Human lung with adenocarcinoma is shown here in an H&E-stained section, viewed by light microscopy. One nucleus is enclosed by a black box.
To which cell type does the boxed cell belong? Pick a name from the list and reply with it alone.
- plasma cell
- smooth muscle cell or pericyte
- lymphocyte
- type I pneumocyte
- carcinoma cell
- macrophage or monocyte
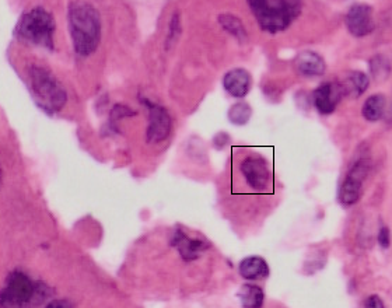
macrophage or monocyte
